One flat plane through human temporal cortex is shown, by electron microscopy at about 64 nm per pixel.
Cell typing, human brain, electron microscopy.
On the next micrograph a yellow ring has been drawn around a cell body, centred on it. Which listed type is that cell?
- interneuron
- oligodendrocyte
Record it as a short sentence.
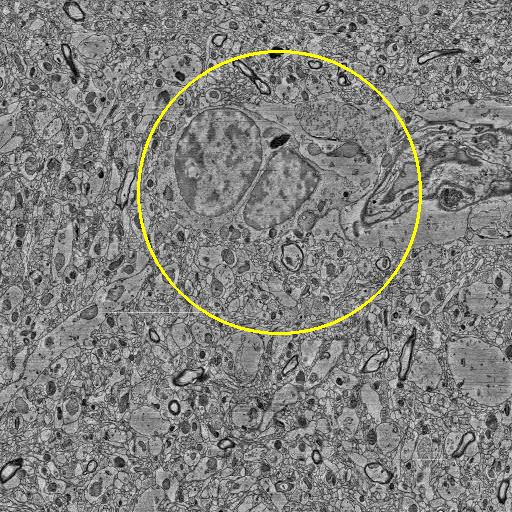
The cell body in the ring's centre belongs to an oligodendrocyte.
